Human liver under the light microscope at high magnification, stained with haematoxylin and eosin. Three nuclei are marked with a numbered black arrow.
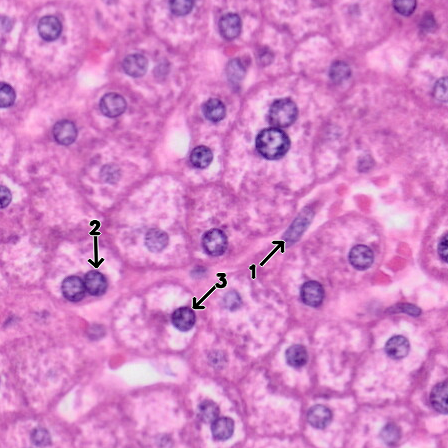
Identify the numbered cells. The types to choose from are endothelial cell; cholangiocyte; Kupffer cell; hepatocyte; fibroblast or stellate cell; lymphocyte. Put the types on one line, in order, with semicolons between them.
Kupffer cell; hepatocyte; hepatocyte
